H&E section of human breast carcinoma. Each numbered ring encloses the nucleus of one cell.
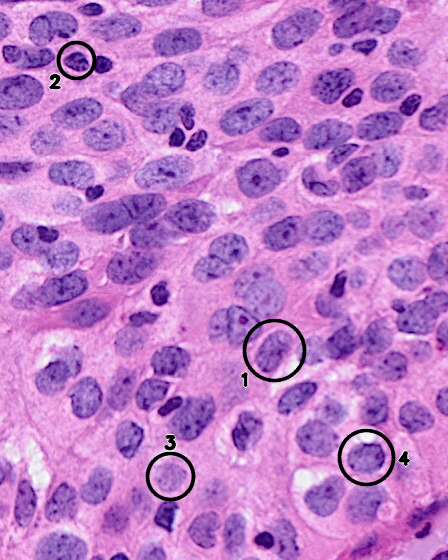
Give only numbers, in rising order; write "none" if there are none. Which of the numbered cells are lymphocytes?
2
